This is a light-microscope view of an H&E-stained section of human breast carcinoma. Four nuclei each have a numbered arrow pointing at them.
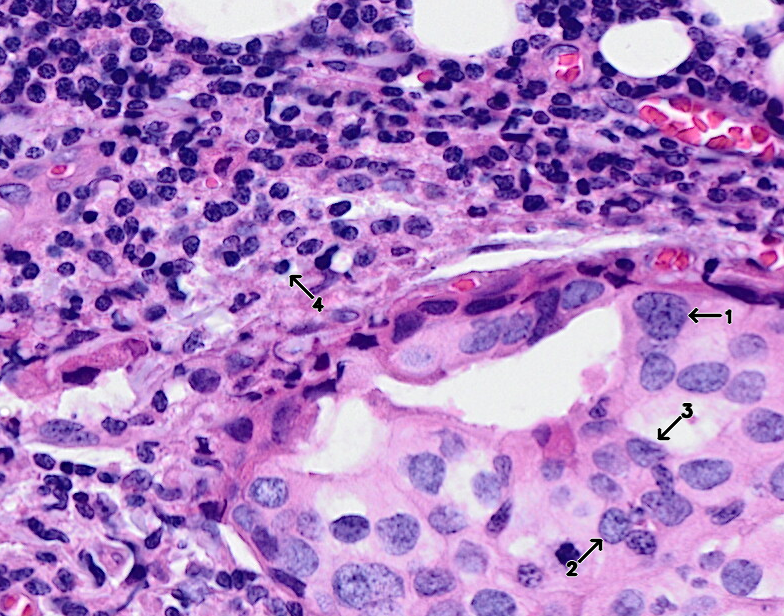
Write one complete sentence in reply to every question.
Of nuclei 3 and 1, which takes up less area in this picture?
The smaller nucleus is 3, and 1 covers roughly 2 times its area.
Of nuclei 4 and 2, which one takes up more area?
Number 2 is larger; its area is about 4 times that of number 4.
